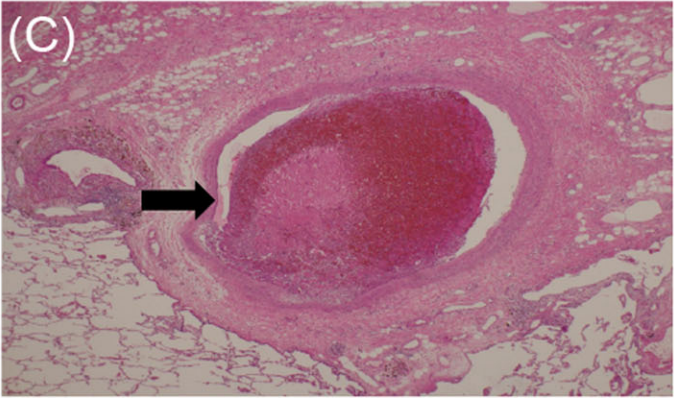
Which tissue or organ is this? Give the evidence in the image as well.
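Pulmonary artery. A large vessel with a thick pink fibrous wall lies at the centre.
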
